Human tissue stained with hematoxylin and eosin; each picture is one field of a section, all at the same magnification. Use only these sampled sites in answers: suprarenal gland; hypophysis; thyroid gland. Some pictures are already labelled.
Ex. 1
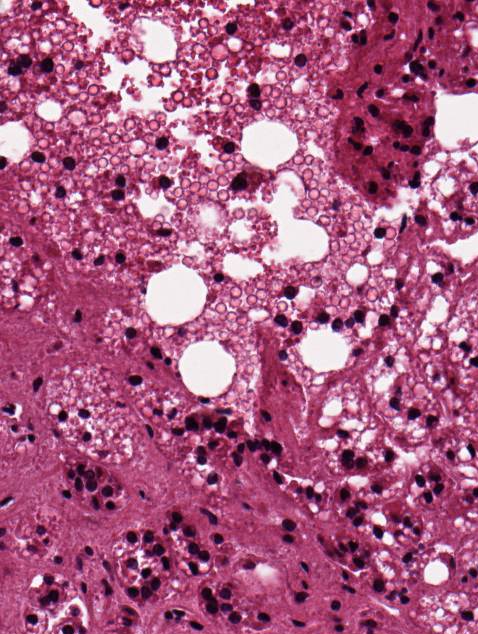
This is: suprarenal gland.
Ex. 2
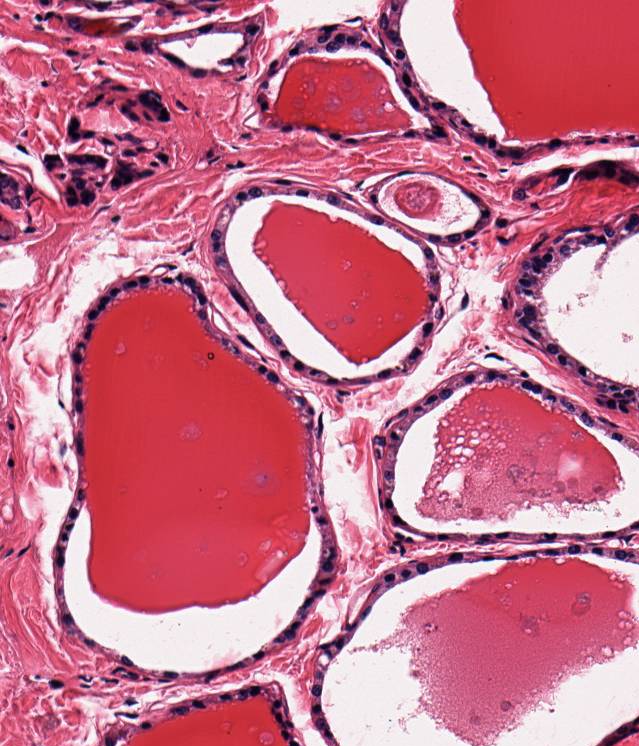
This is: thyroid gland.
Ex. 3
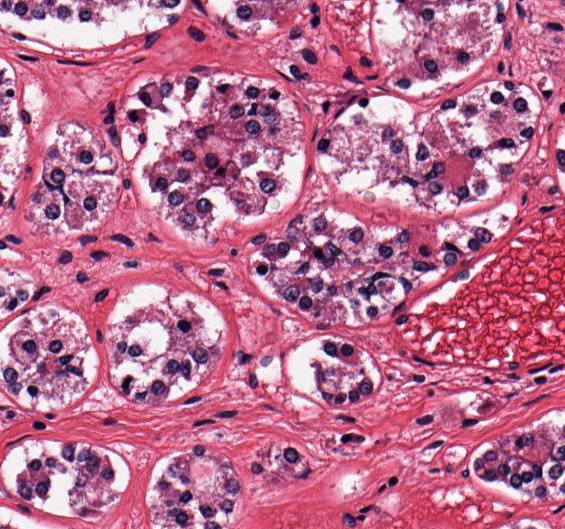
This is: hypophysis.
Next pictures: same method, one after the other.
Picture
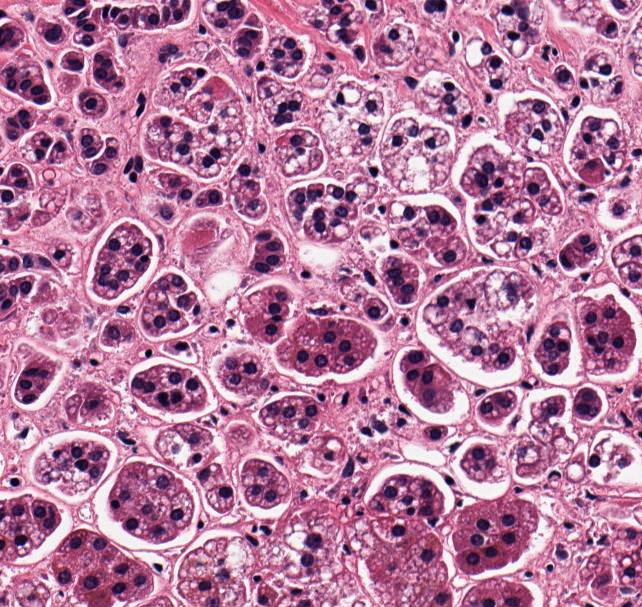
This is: suprarenal gland.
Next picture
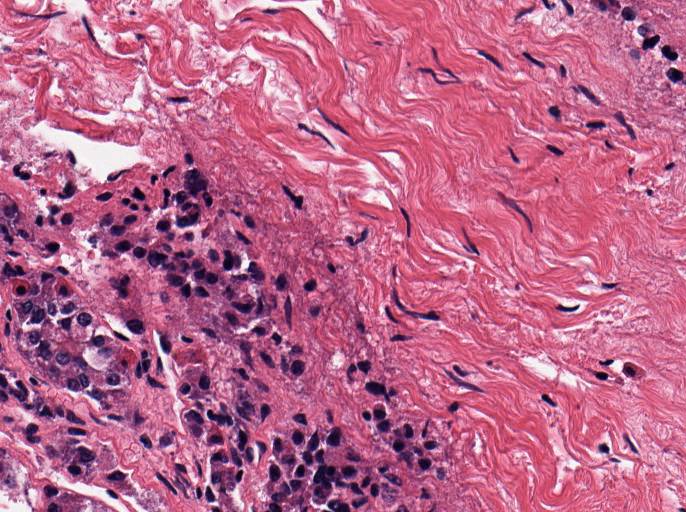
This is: hypophysis.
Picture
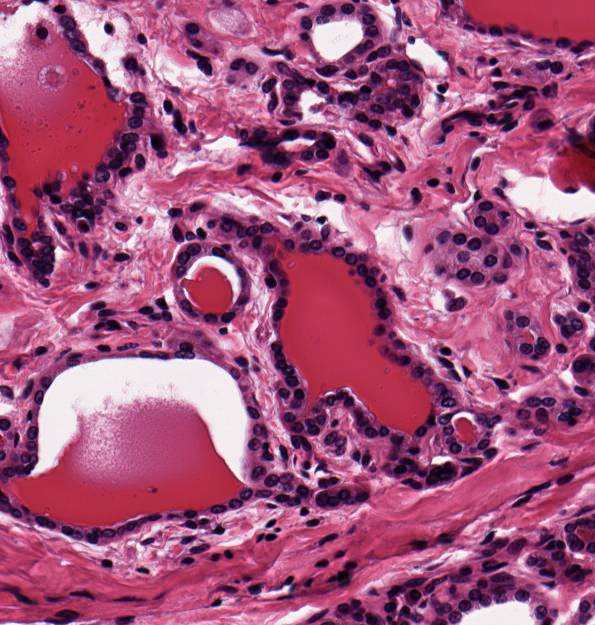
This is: thyroid gland.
